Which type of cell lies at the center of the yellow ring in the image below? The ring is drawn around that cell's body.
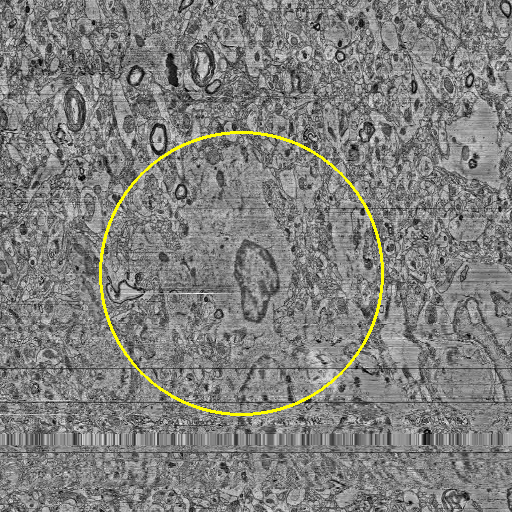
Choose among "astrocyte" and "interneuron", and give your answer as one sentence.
The cell body at the center belongs to an astrocyte.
